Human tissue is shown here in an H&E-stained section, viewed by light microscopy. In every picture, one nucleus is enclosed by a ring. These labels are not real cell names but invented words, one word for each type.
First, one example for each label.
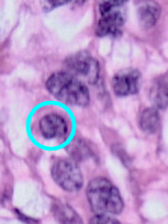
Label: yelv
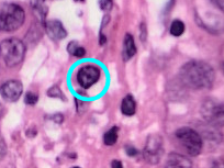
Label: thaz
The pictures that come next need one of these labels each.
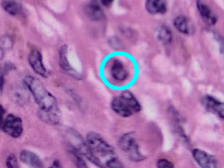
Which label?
thaz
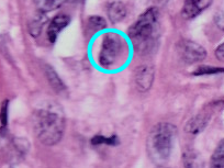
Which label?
yelv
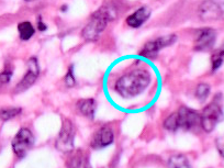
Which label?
yelv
